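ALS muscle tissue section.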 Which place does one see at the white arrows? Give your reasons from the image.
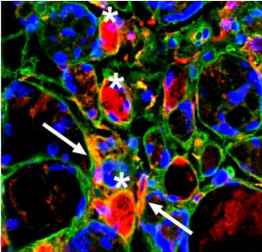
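Endomysial space. The arrows point between fibers, not into a fiber. The spaces they point to hold green and red material and blue nuclei.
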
